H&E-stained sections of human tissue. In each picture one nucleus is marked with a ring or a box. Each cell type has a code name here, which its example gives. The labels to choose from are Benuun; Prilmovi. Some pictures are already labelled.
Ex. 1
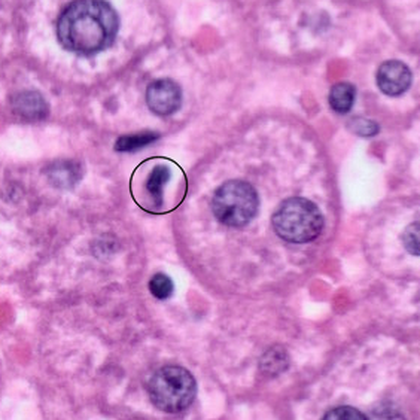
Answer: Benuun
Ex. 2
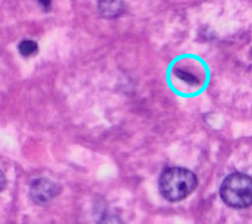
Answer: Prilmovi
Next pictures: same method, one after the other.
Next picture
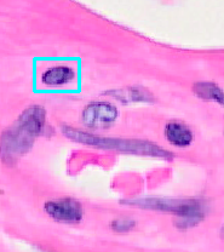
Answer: Benuun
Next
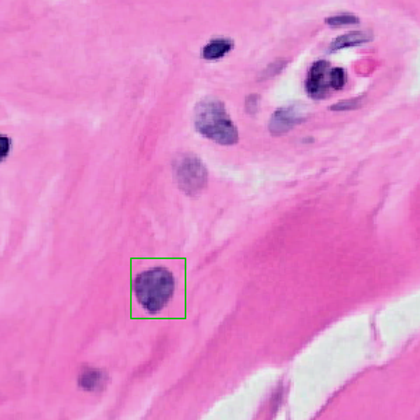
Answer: Benuun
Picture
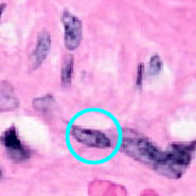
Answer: Prilmovi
